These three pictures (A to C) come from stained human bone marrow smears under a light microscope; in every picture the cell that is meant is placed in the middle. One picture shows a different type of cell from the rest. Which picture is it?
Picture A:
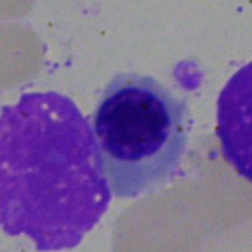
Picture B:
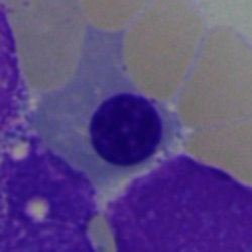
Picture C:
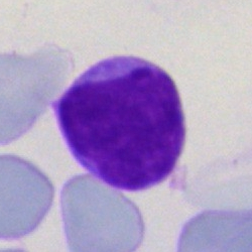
C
